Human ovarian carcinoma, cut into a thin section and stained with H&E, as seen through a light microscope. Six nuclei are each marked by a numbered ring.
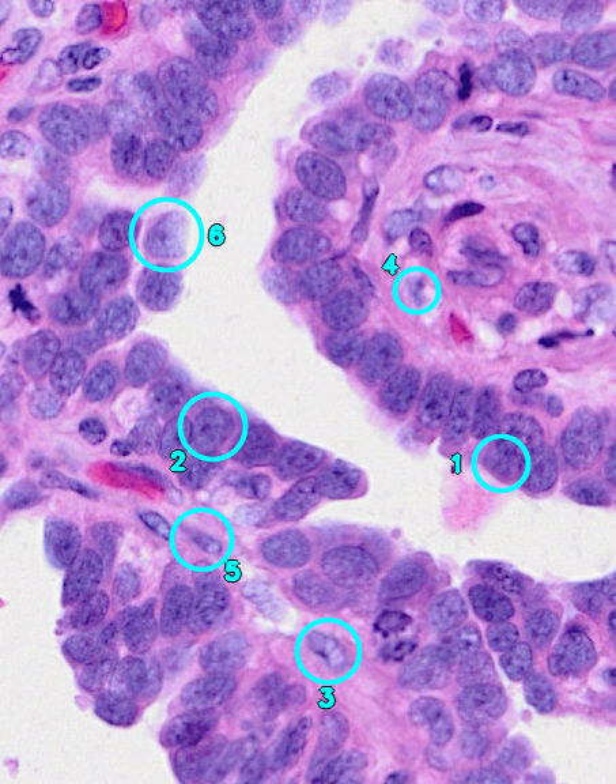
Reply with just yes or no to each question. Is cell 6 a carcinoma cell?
yes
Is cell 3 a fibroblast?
yes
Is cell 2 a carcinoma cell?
yes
